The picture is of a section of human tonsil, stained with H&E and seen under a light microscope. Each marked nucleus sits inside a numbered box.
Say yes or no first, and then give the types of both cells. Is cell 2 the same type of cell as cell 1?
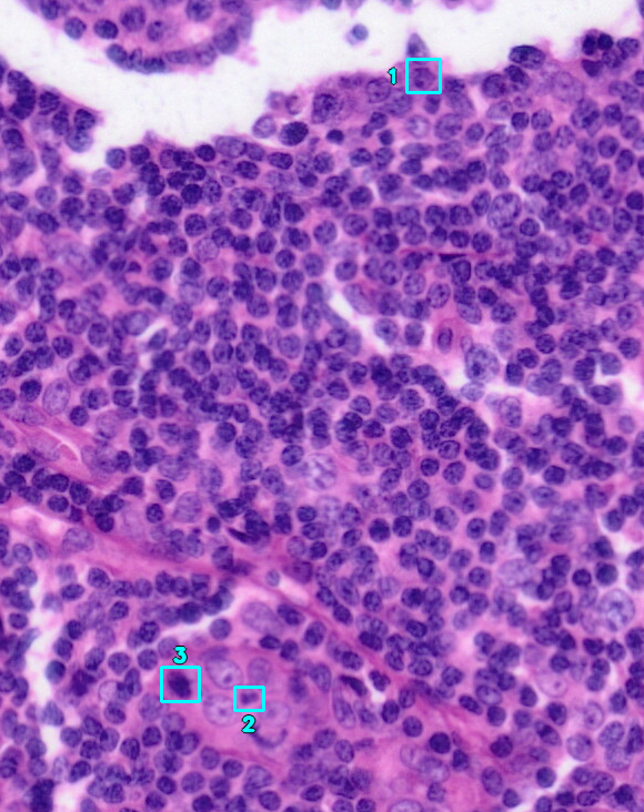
No, cell 2 is typed as an endothelial cell, and cell 1 is typed as a proliferating B cell.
